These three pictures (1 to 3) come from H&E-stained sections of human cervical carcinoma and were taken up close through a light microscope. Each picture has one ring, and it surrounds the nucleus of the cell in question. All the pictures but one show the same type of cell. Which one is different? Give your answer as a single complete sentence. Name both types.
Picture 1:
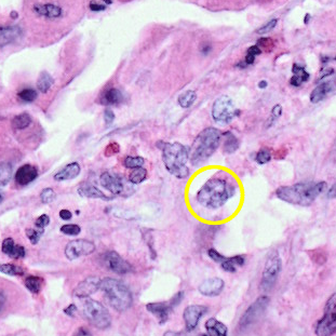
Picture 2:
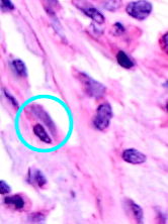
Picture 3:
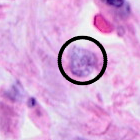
The different one is picture 3; it shows an endothelial cell, whereas all the others show “macrophages or monocytes”.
